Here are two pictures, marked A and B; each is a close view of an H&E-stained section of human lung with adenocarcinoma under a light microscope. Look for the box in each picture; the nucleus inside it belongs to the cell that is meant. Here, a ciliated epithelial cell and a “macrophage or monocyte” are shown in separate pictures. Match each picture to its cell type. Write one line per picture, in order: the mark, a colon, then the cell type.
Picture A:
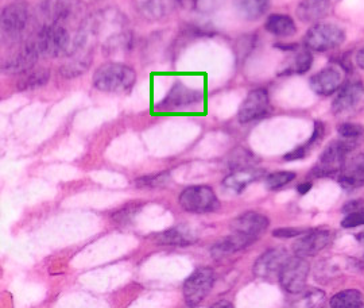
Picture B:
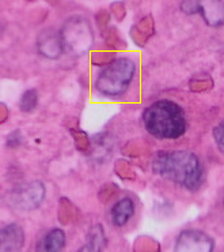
A: ciliated epithelial cell
B: macrophage or monocyte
